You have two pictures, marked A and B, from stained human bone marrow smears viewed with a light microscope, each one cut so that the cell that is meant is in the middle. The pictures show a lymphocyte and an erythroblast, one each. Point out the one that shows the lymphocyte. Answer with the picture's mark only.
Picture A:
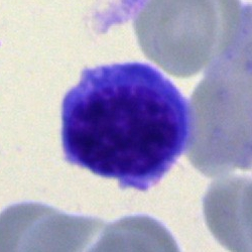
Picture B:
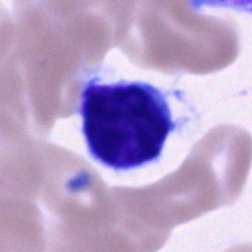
B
